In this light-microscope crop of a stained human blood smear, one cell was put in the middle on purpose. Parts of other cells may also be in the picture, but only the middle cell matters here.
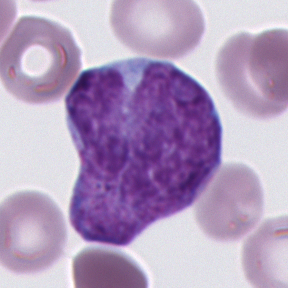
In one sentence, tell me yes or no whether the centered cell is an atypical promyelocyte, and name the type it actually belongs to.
Yes, the cell at the midpoint of the crop is an atypical promyelocyte.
